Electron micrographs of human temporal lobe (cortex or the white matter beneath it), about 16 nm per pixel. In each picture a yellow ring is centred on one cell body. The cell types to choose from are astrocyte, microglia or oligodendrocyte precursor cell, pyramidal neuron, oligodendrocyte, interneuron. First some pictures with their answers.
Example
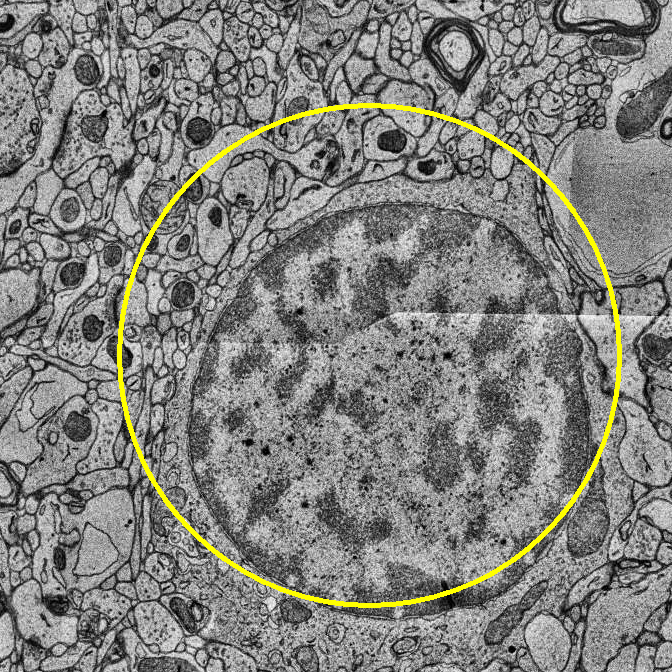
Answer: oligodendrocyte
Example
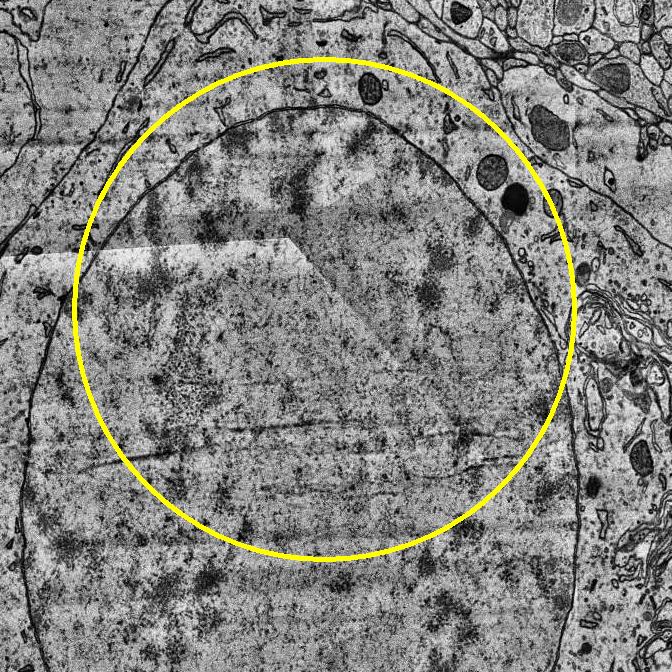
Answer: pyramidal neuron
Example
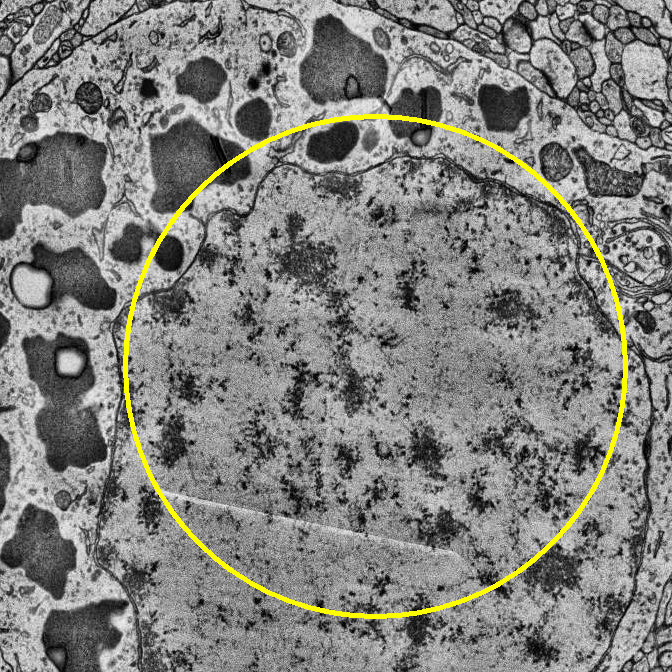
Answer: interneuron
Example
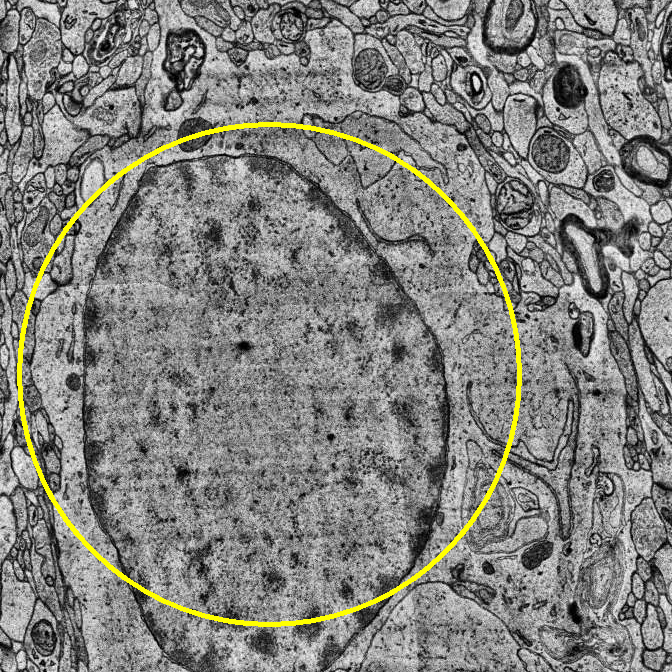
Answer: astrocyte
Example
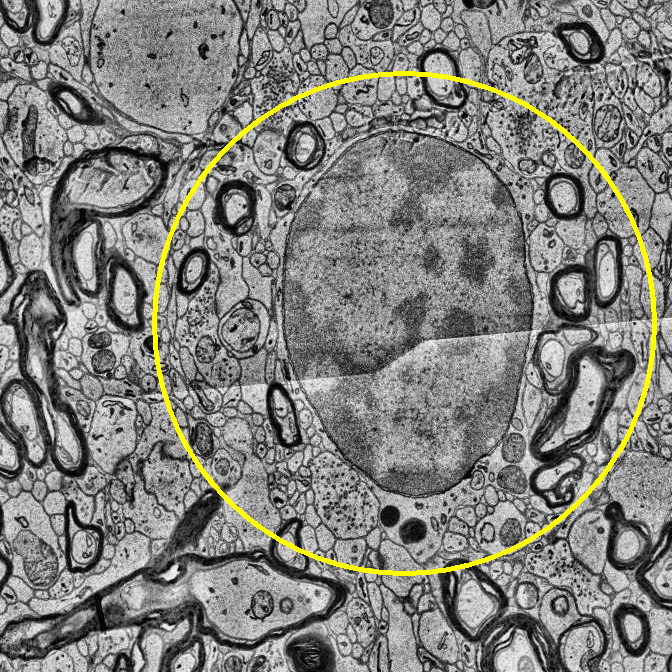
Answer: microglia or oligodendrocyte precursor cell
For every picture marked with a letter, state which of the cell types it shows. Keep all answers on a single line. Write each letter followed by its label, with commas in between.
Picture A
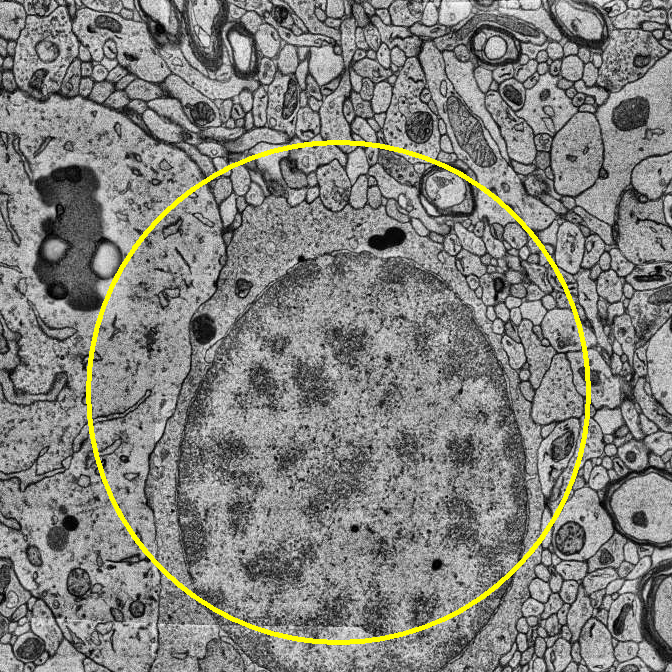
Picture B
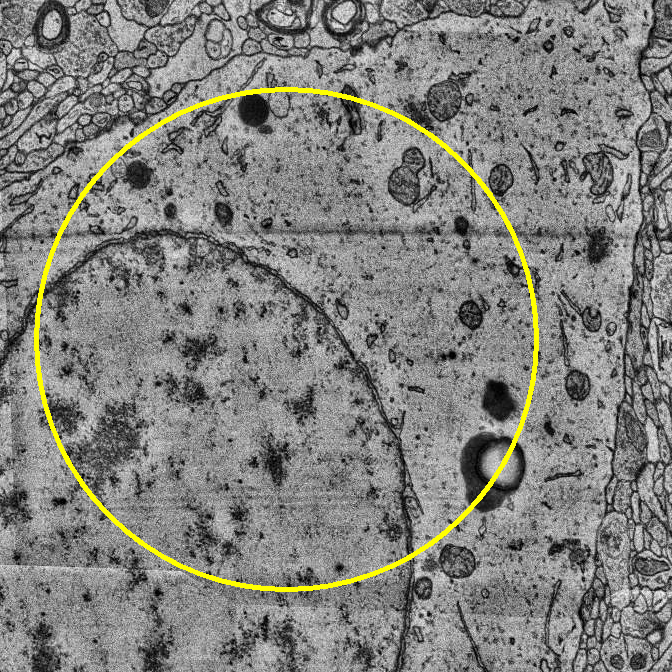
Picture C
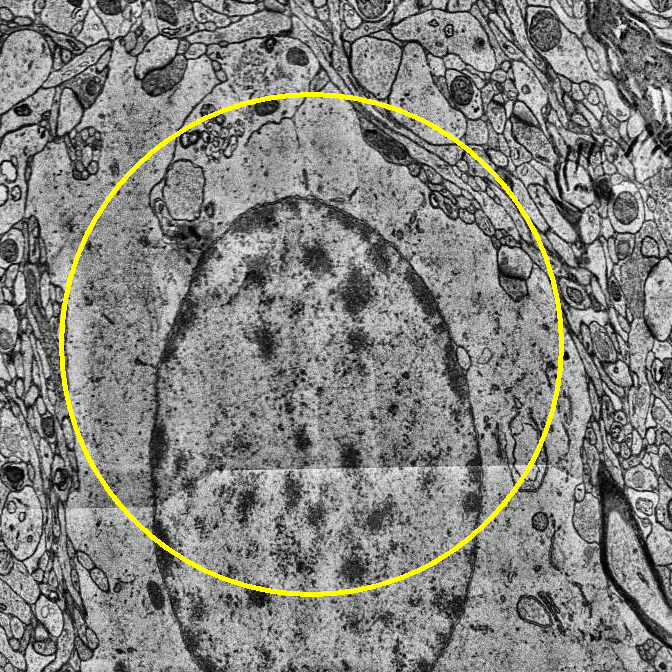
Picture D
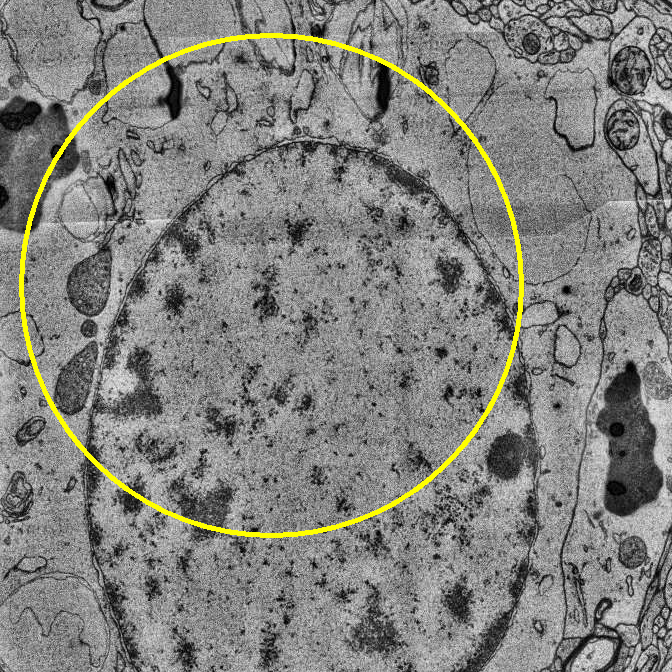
A oligodendrocyte, B pyramidal neuron, C astrocyte, D astrocyte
